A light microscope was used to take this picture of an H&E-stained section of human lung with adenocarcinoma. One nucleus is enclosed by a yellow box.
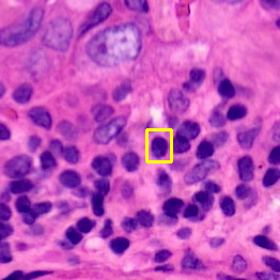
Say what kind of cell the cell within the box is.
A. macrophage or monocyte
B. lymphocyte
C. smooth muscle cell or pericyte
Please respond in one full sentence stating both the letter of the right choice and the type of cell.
Of the options offered, B is correct, as the cell within the box is a lymphocyte.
